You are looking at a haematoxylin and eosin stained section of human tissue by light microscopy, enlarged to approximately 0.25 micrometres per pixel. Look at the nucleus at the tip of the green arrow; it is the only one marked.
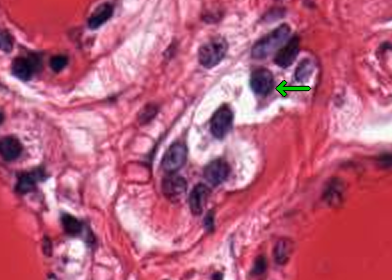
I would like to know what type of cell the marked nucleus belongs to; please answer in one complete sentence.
The marked nucleus is the nucleus of a thyroid follicular cell.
